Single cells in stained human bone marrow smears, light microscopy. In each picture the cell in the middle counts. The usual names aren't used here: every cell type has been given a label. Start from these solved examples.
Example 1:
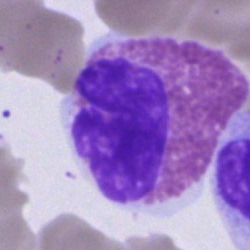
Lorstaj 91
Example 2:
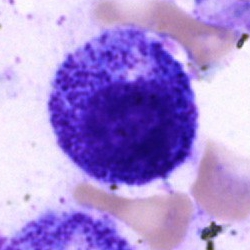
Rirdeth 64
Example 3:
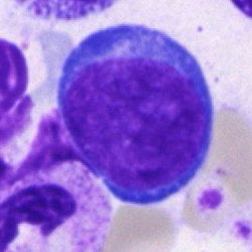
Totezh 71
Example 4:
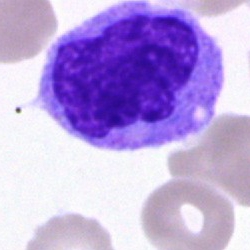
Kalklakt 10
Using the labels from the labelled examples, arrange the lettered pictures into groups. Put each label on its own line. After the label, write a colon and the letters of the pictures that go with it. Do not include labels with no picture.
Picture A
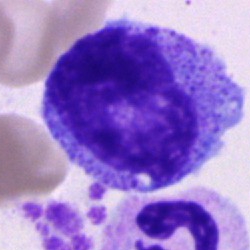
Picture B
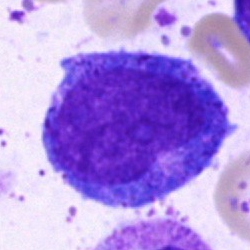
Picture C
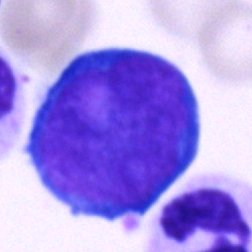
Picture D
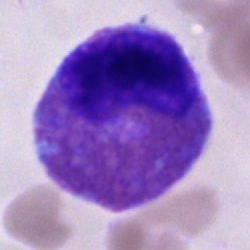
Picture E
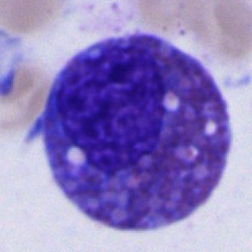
Lorstaj 91: D, E
Rirdeth 64: A, B
Totezh 71: C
